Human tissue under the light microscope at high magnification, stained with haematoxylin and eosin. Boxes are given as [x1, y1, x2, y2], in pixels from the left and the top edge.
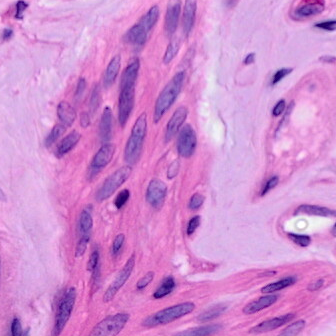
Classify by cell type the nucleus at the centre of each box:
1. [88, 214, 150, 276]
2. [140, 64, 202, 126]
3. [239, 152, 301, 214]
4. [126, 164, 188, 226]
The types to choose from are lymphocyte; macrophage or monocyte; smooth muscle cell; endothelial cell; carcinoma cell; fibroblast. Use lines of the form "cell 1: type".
cell 1: smooth muscle cell
cell 2: smooth muscle cell
cell 3: endothelial cell
cell 4: smooth muscle cell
